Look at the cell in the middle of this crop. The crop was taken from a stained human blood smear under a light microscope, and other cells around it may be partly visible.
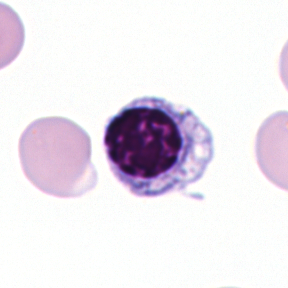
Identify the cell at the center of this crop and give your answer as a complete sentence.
The middle of this crop is occupied by a normoblast.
